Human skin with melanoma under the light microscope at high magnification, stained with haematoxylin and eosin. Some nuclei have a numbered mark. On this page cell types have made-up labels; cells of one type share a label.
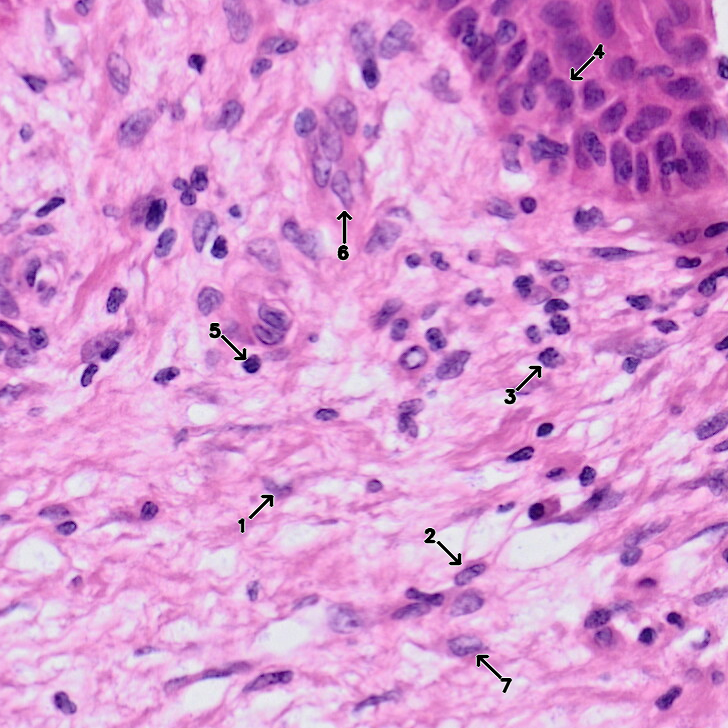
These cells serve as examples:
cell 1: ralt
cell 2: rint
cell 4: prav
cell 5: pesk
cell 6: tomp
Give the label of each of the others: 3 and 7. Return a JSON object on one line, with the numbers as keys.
{"3": "pesk", "7": "ralt"}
